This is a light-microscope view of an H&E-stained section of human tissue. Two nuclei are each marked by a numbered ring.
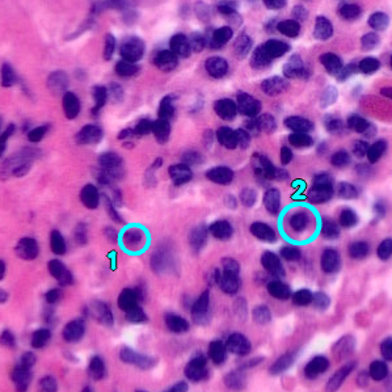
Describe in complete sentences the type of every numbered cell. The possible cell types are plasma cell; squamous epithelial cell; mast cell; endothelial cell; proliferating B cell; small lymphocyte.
Cell 1 is an endothelial cell. Cell 2 is a plasma cell.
